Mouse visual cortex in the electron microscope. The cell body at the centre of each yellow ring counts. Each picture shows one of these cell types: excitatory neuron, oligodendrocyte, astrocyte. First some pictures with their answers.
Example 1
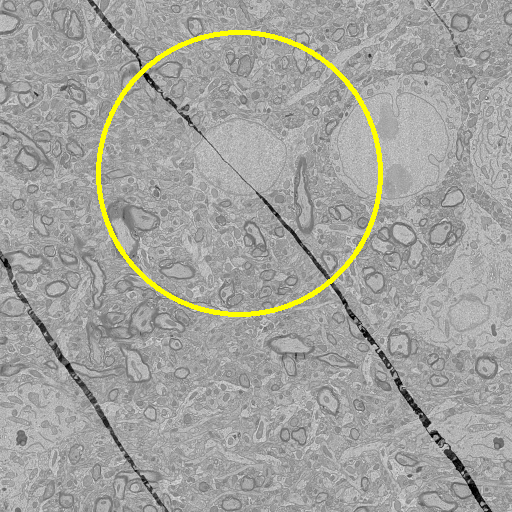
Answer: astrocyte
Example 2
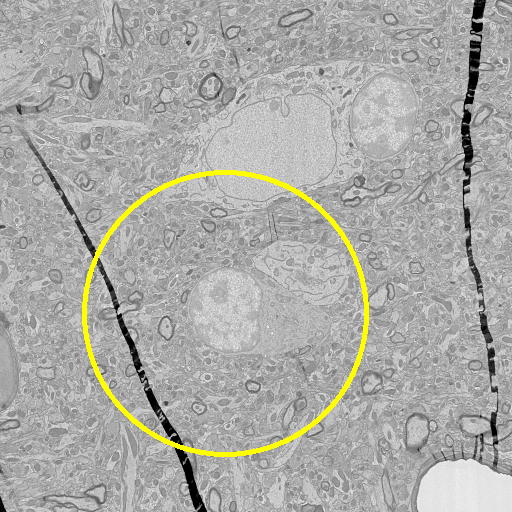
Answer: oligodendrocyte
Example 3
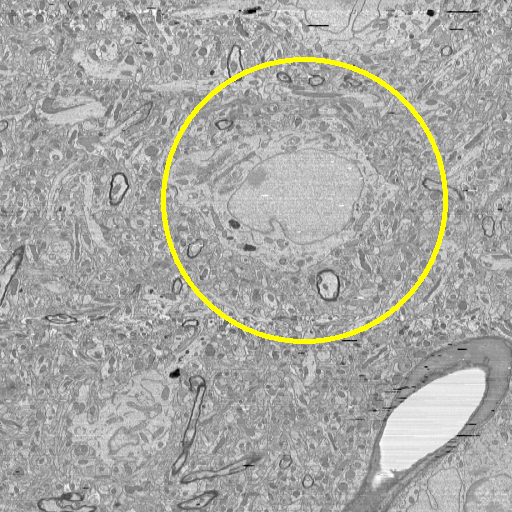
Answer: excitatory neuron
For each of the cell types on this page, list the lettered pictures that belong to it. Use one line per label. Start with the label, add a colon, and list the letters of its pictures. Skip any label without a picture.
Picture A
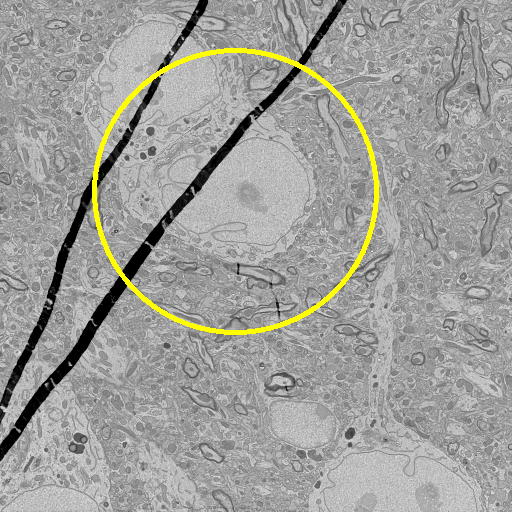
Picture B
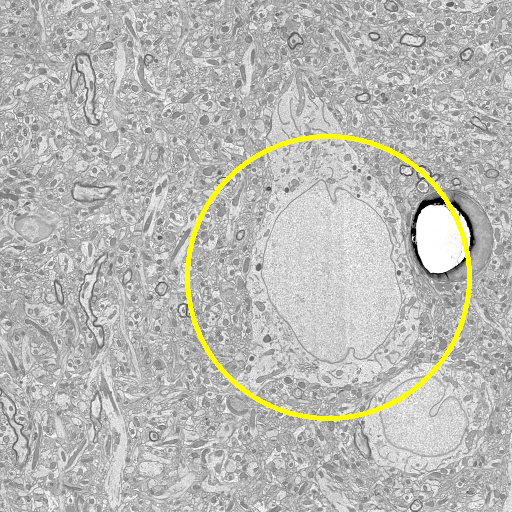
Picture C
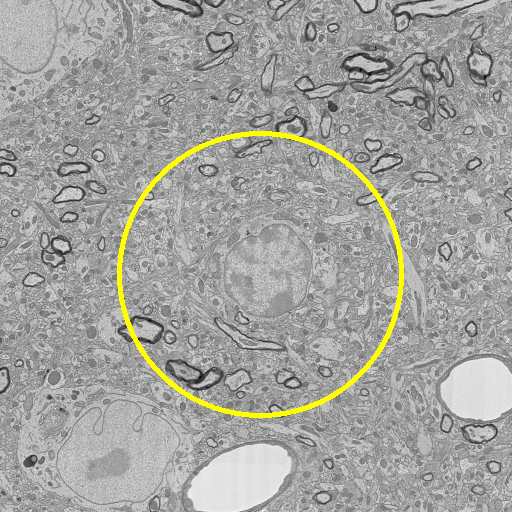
excitatory neuron: A, B
oligodendrocyte: C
